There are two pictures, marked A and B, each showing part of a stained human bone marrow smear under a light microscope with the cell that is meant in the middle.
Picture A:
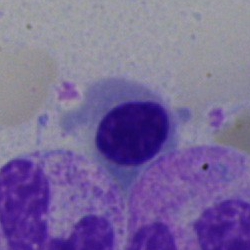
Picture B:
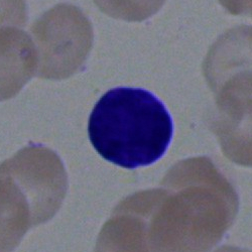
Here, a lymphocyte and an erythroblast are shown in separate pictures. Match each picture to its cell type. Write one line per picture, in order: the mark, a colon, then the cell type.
A: erythroblast
B: lymphocyte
